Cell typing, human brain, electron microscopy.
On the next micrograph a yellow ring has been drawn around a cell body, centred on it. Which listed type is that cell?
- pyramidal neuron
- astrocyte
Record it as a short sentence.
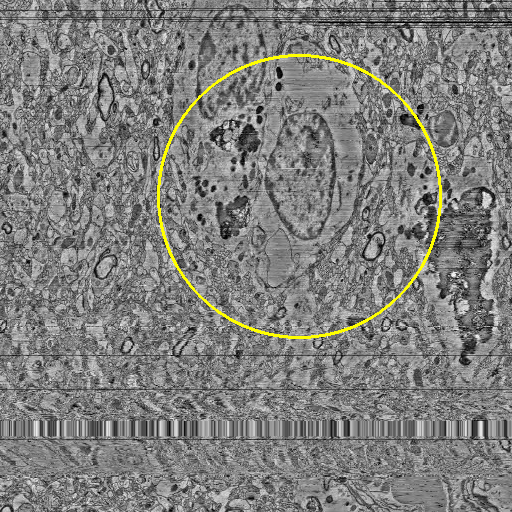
The cell body in the ring's centre belongs to an astrocyte.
